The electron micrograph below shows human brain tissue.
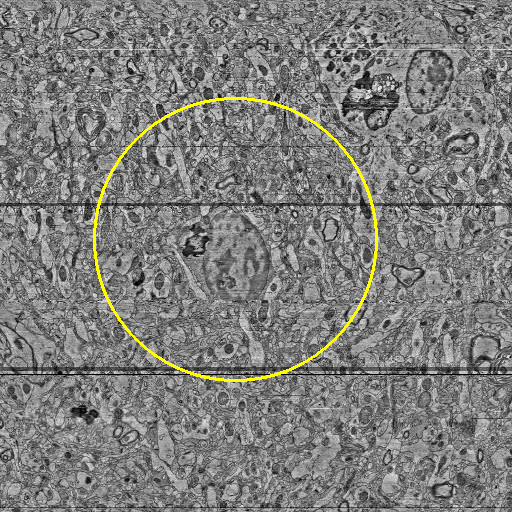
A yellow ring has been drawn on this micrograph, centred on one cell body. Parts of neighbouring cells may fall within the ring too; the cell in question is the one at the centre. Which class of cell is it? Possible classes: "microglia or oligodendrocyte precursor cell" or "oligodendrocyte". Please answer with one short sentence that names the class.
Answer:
In the centre of the ring sits an oligodendrocyte.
